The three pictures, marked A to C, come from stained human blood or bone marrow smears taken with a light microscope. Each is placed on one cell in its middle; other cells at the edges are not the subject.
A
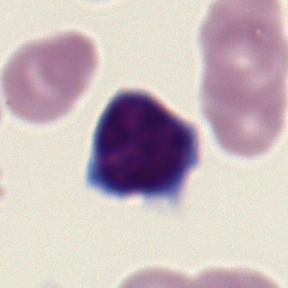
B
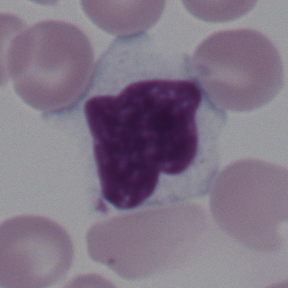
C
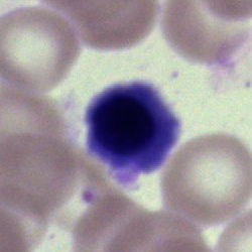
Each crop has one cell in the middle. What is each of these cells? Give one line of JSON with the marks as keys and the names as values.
{"A": "lymphocyte", "B": "lymphocyte", "C": "erythroblast"}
